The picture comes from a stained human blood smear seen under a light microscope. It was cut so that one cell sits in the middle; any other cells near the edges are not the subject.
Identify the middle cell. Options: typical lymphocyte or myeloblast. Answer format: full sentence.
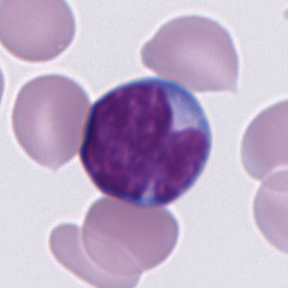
In this smear crop, the middle cell is a typical lymphocyte.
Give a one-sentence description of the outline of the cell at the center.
The edge of the cell is unbroken and smooth, bearing no projections.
